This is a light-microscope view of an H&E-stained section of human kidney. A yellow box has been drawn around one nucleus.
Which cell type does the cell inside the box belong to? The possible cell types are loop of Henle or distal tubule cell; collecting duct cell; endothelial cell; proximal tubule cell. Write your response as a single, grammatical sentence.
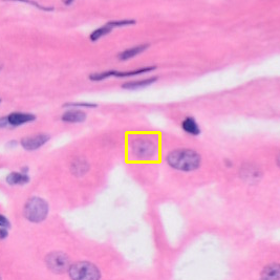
At the level of cell identity, the cell inside the box is a proximal tubule cell.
